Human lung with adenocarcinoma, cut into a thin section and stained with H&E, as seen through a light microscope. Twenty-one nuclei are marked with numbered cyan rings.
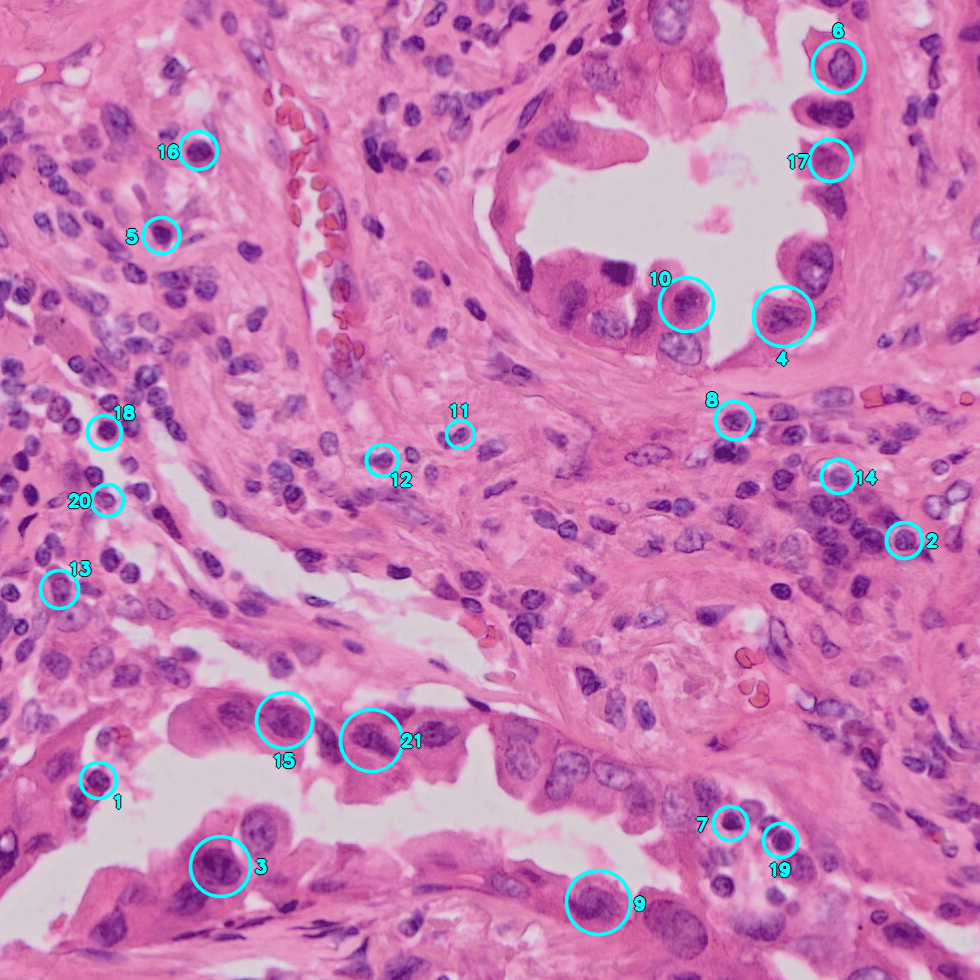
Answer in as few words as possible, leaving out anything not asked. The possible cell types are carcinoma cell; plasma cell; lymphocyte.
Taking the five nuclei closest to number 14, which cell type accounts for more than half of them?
plasma cell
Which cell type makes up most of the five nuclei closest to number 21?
carcinoma cell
